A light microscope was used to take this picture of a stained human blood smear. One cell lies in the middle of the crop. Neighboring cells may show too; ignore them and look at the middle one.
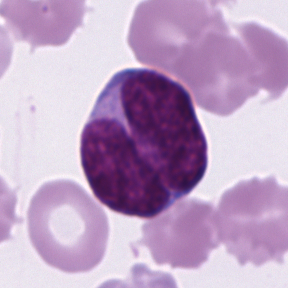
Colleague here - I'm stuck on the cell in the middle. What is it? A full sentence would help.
Classification of the middle cell gives a myeloblast.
